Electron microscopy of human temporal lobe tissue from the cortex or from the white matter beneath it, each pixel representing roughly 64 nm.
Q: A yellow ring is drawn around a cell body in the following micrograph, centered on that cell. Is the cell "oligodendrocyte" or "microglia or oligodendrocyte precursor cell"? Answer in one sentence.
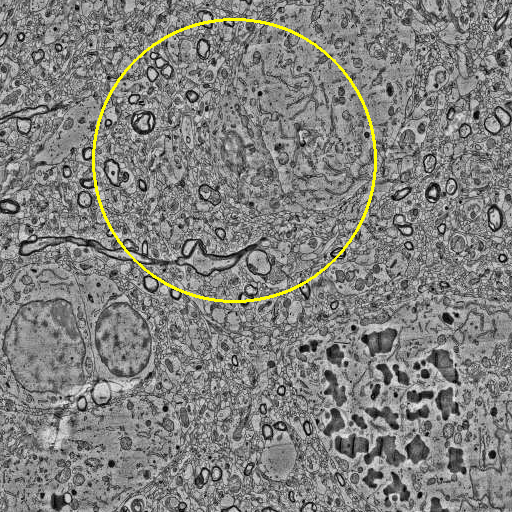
The cell in the center of the ring is an oligodendrocyte.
